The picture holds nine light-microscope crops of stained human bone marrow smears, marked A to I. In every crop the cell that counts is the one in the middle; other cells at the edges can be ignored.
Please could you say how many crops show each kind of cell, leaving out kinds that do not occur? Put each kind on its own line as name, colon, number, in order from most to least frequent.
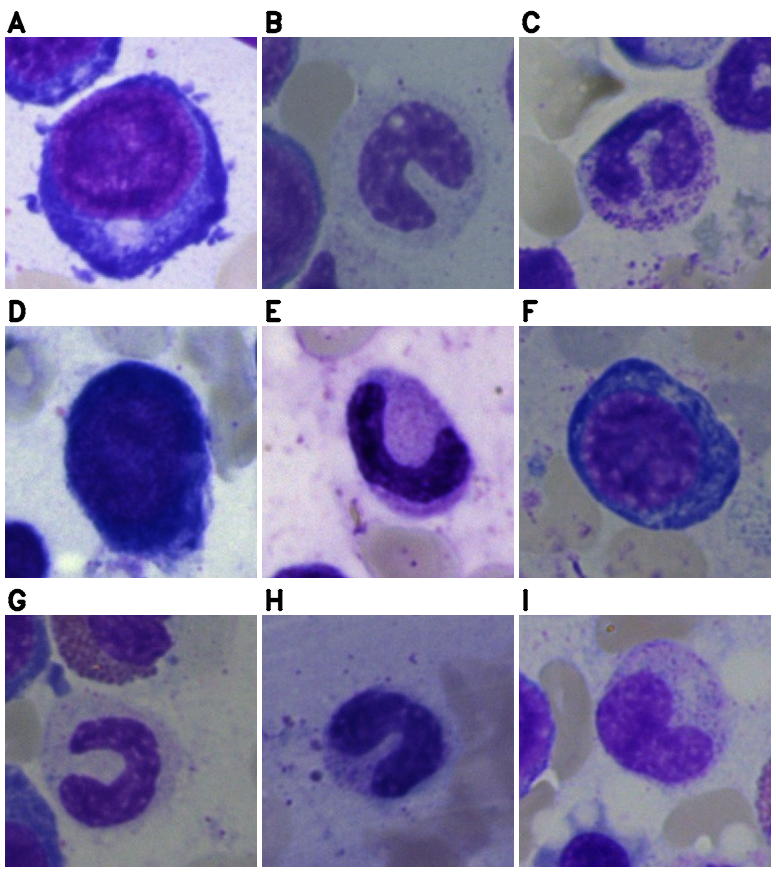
band neutrophil: 6
proerythroblast: 3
